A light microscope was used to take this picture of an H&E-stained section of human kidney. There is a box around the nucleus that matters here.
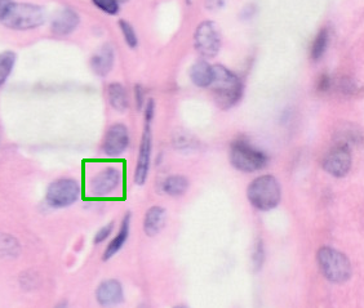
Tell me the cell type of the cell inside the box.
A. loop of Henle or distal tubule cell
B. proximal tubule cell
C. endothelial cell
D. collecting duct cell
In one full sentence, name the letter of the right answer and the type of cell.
Option D is the right one; the cell inside the box is a collecting duct cell.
